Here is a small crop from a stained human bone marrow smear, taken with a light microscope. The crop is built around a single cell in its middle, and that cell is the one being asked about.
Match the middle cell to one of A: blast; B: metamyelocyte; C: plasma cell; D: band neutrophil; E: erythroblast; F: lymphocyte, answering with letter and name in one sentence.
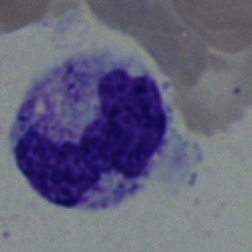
The cell at the heart of the crop is a band neutrophil, so choose option D.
